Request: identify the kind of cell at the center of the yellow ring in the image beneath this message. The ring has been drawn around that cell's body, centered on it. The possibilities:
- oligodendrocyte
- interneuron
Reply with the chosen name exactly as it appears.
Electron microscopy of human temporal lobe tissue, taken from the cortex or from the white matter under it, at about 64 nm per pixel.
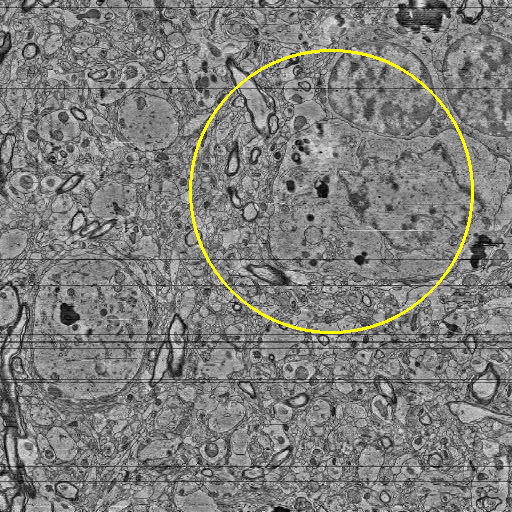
interneuron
